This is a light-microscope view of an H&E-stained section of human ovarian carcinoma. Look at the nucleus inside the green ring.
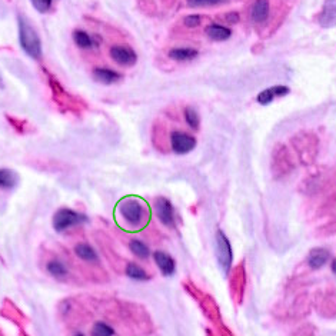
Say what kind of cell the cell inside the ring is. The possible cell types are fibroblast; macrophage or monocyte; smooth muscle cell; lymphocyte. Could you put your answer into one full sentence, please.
For cell typing purposes, the cell inside the ring is a smooth muscle cell.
